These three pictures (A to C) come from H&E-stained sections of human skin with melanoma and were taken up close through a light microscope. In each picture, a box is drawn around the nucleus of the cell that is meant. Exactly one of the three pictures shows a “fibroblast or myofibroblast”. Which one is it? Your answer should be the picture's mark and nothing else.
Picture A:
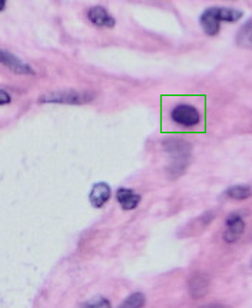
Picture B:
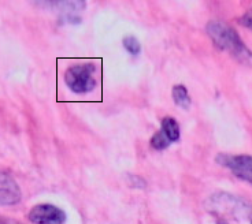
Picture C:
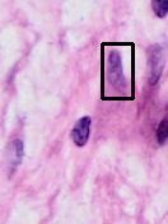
C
